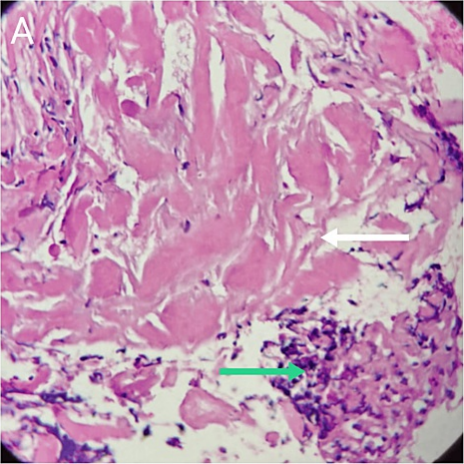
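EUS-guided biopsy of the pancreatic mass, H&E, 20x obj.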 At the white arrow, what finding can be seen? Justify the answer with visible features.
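The white arrow points into broad, homogeneous, glassy pink bands. The pink bands hold very few nuclei.
Answer: dense hyalinization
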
